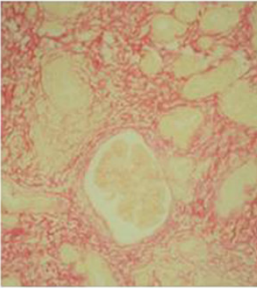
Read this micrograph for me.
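This is kidney tissue in which pale yellow-beige tubular profiles are separated by red-stained fibrous tissue in the interstitium. Near the lower middle lies a rounded glomerulus-like structure, itself pale, encircled by red fibres. Between the tubules the red staining forms a fine, lacy and fairly dense meshwork rather than only thin lines at the tubule borders. The tubular profiles vary in size and shape, and some appear small and widely separated by the red-stained interstitium.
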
